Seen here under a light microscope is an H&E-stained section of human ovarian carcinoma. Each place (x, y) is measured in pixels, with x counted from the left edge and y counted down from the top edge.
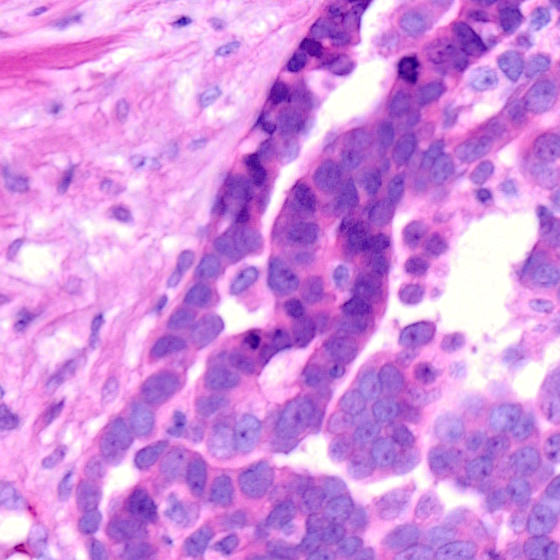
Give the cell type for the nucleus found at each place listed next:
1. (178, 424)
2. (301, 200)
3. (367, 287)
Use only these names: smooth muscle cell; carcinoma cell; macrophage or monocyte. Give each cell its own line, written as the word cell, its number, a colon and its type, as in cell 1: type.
cell 1: macrophage or monocyte
cell 2: carcinoma cell
cell 3: carcinoma cell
